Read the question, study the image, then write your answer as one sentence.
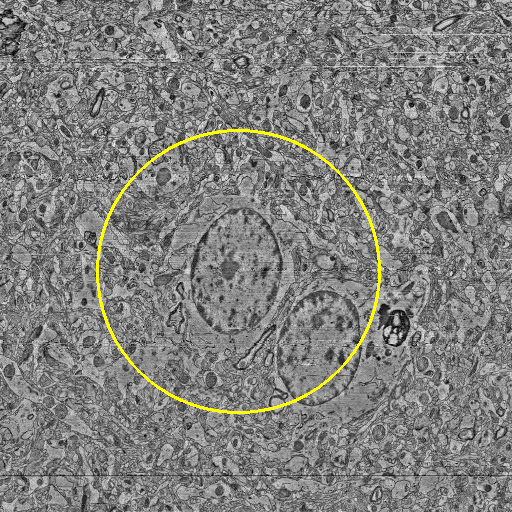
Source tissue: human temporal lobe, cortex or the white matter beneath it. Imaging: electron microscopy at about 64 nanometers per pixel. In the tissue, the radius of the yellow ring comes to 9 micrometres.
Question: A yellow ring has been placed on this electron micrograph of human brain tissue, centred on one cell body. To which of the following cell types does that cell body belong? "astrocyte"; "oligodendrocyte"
That cell body belongs to an astrocyte.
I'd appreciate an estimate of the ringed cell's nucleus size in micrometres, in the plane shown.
In this plane the nucleus measures roughly 8 by 6 micrometers.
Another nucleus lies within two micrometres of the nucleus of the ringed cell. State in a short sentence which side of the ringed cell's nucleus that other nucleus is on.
The other nucleus is situated to the lower right of it.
